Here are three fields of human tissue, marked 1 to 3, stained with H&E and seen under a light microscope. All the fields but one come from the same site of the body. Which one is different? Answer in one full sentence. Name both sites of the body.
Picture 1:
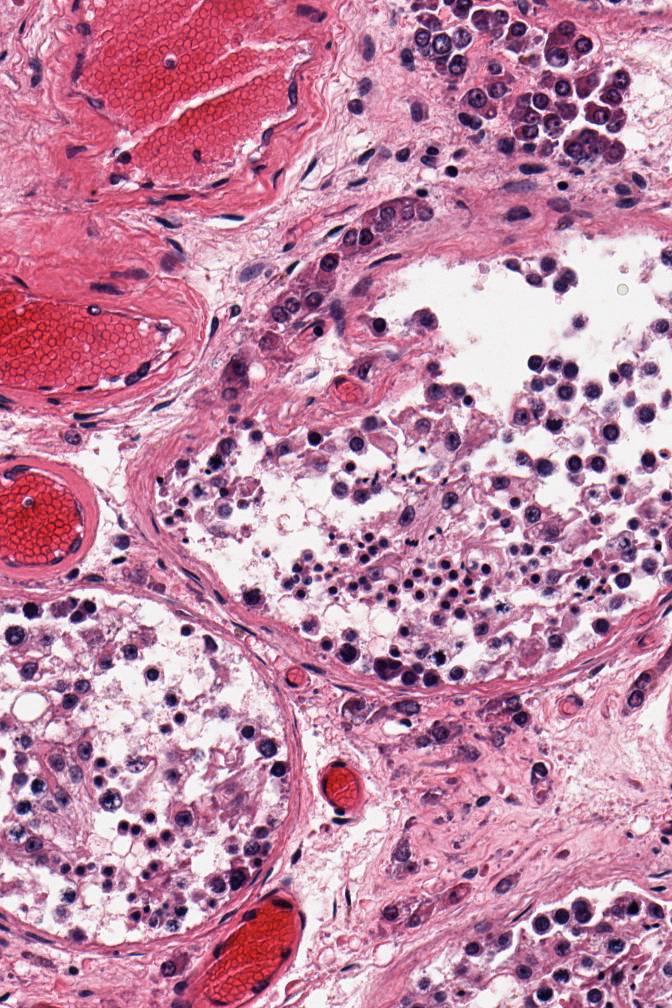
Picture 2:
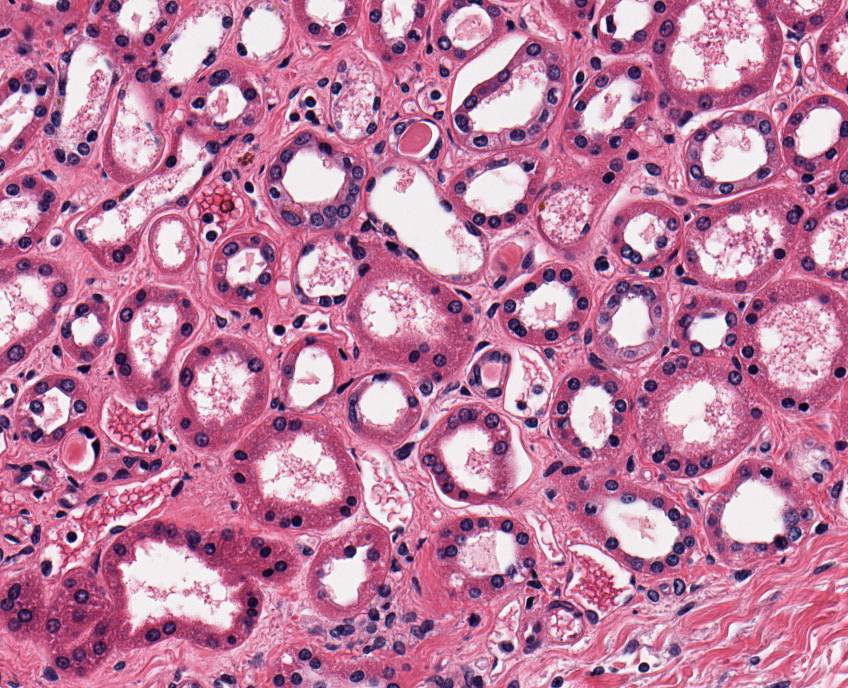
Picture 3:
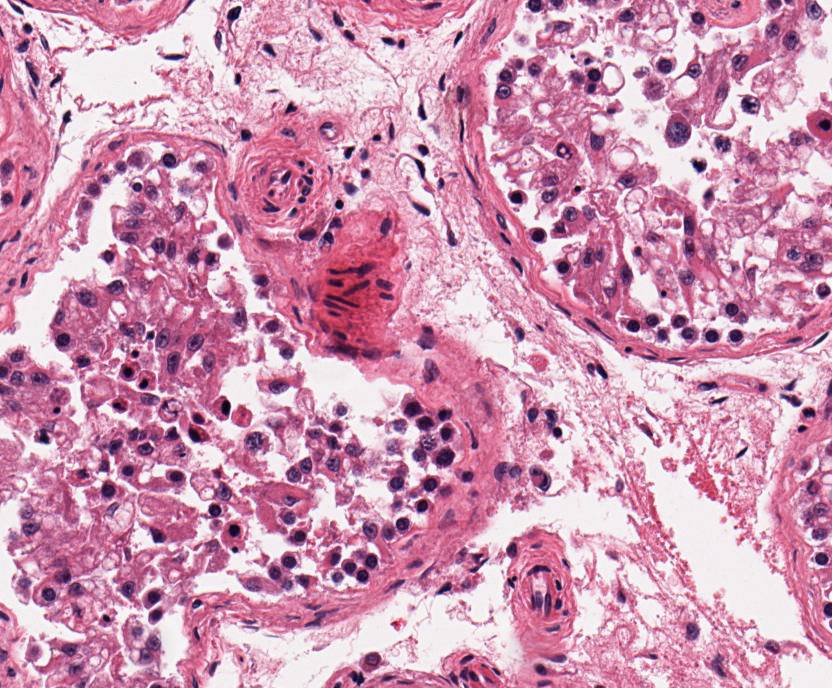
Picture 2 is the odd one out: it comes from the renal medulla, while the others come from the testis.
